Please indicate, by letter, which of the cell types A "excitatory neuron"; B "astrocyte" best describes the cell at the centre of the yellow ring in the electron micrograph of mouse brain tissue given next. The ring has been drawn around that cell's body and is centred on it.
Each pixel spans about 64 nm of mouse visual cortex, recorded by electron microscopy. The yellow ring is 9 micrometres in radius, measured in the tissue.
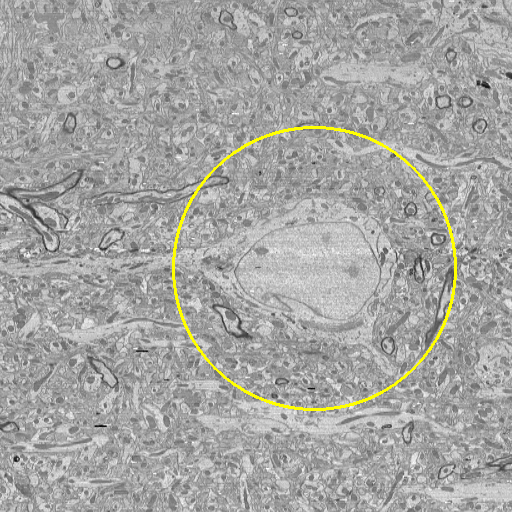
A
